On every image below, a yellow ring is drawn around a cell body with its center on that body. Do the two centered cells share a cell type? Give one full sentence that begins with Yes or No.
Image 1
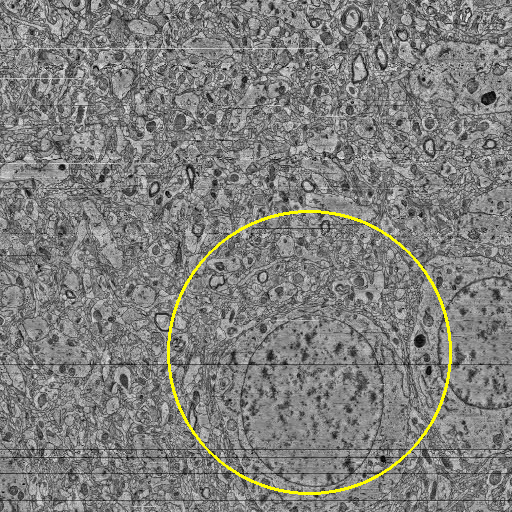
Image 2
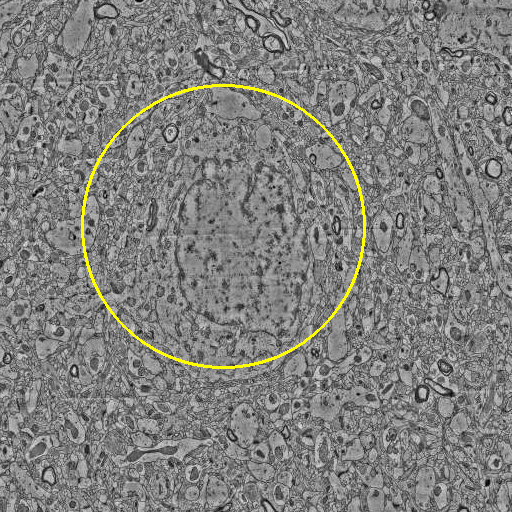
No, the centered cells in the two images are of two separate cell types.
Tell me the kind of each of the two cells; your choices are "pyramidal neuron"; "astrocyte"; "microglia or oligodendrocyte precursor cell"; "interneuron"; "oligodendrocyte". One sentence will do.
The ringed cell is a pyramidal neuron in the first picture and an interneuron in the second picture.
